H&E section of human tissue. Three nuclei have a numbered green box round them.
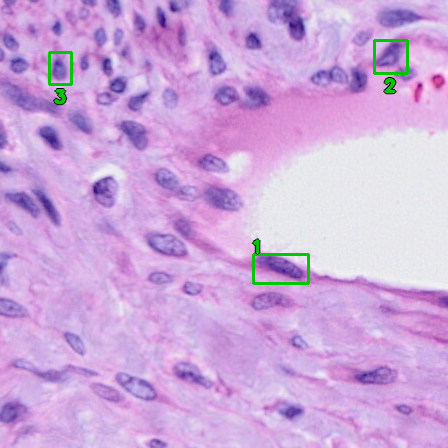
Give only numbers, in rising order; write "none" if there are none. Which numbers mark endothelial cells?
1, 2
